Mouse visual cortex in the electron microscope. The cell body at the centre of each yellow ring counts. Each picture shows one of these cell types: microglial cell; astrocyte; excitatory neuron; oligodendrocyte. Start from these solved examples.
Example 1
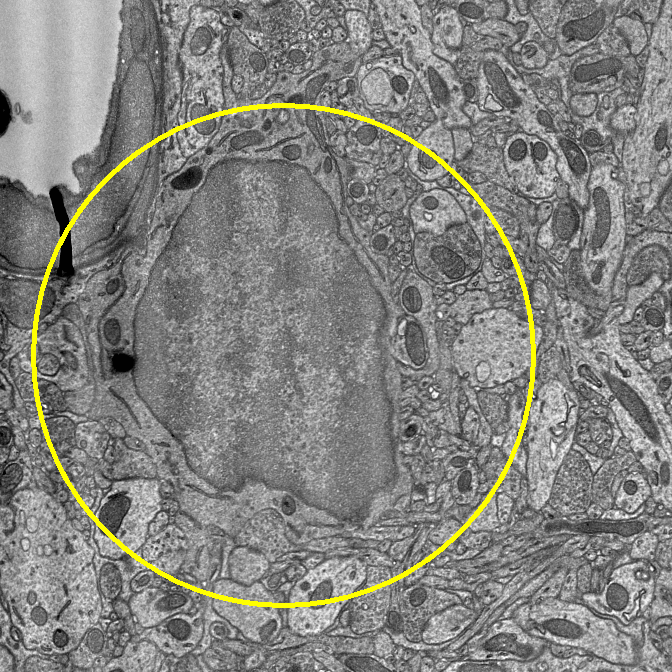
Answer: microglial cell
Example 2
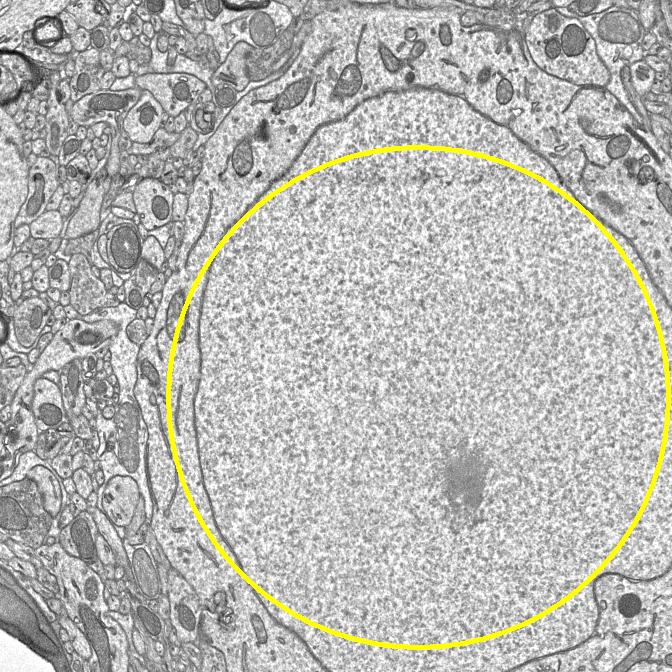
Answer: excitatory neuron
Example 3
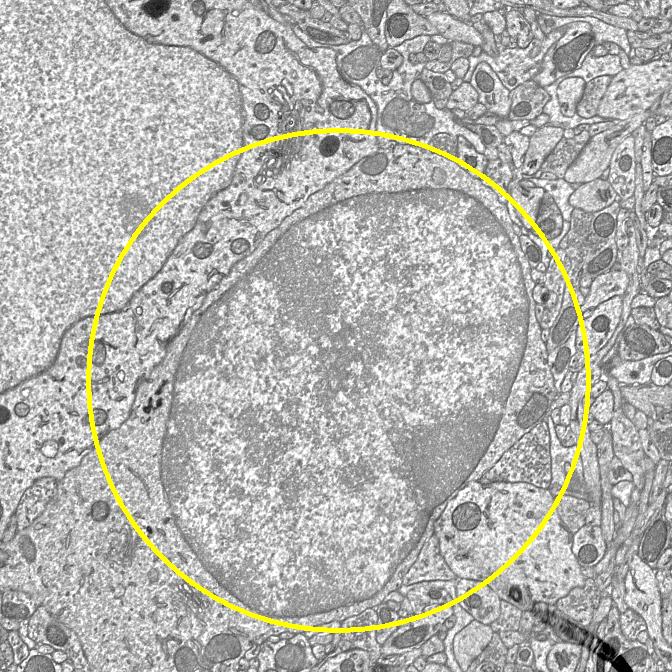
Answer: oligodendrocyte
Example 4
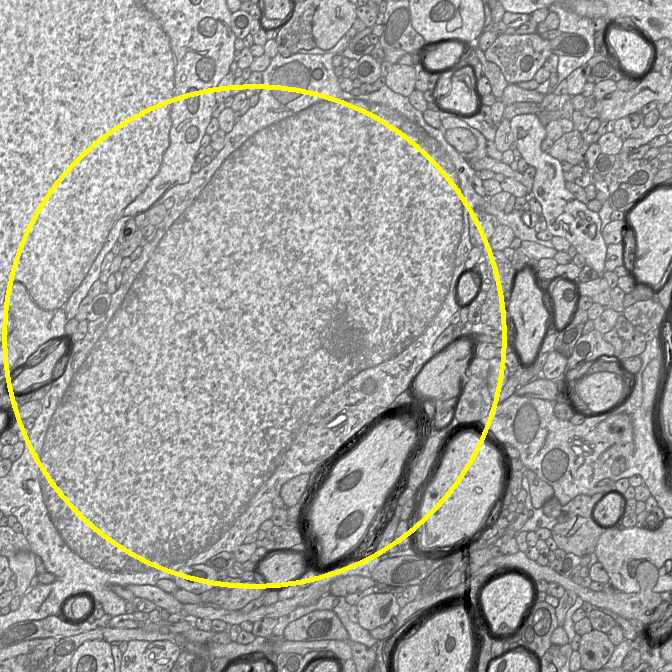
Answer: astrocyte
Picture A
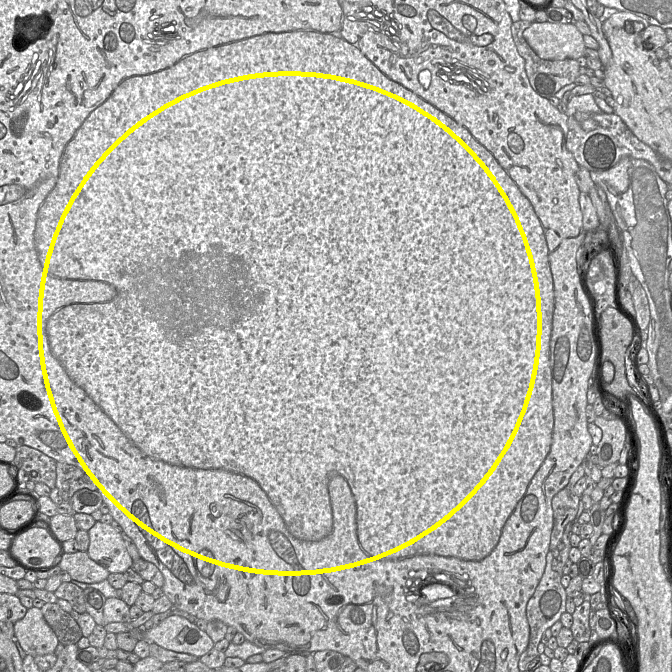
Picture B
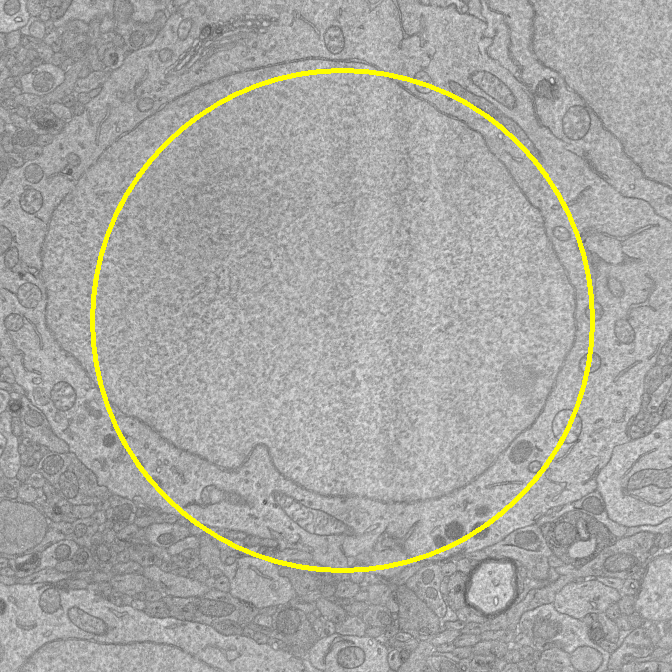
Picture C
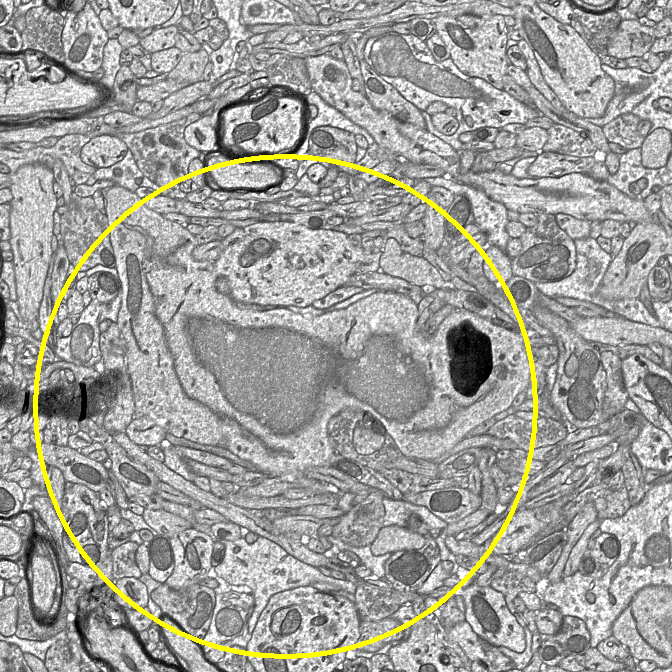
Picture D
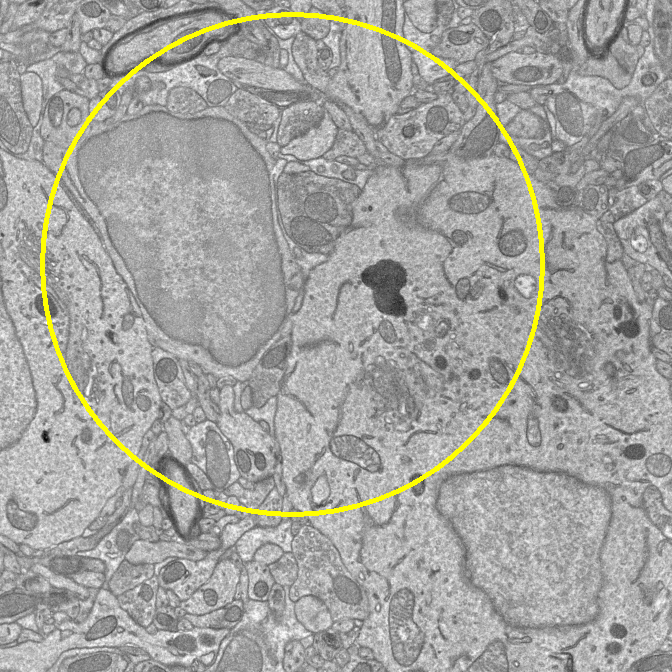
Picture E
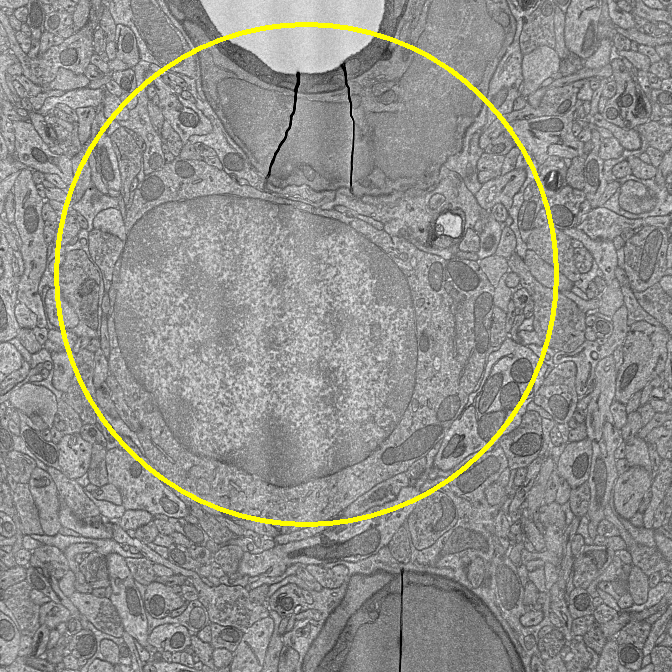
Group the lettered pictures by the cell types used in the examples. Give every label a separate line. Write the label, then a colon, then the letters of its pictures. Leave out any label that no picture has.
microglial cell: C, D
excitatory neuron: A, B
oligodendrocyte: E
